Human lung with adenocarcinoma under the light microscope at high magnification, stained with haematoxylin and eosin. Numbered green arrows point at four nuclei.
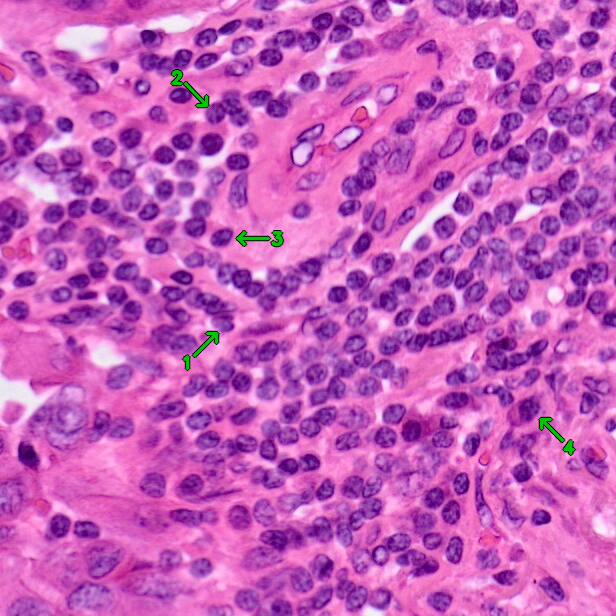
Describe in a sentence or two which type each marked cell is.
Cells 1, 2 and 3 are lymphocytes. Cell 4 is a plasma cell.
